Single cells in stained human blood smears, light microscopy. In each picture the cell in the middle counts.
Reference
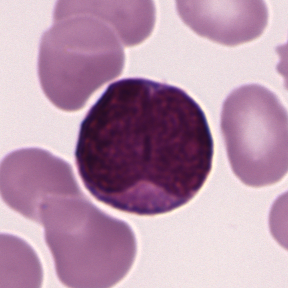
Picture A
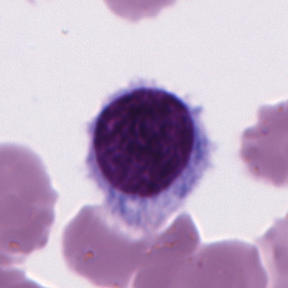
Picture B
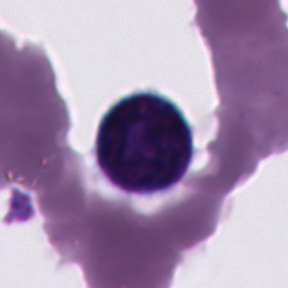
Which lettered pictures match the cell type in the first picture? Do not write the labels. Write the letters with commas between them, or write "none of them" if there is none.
none of them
